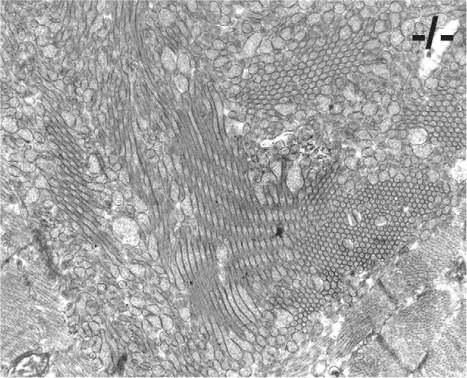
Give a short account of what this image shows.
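This electron micrograph shows the inside of a skeletal muscle fibre in which the regular arrangement of the contractile apparatus is lost. Large fields of closely packed round profiles are arranged in a regular honeycomb pattern.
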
